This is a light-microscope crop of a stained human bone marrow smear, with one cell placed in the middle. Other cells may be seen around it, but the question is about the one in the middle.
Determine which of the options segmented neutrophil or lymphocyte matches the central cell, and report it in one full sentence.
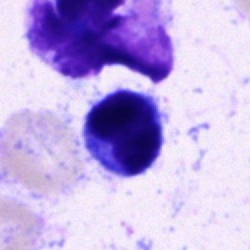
The cell nearest the centre of this crop is a lymphocyte.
